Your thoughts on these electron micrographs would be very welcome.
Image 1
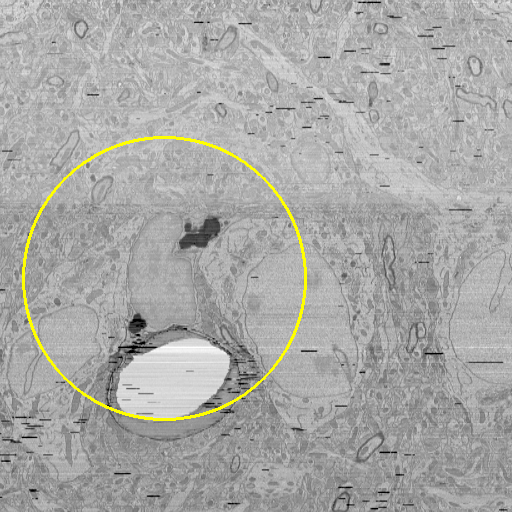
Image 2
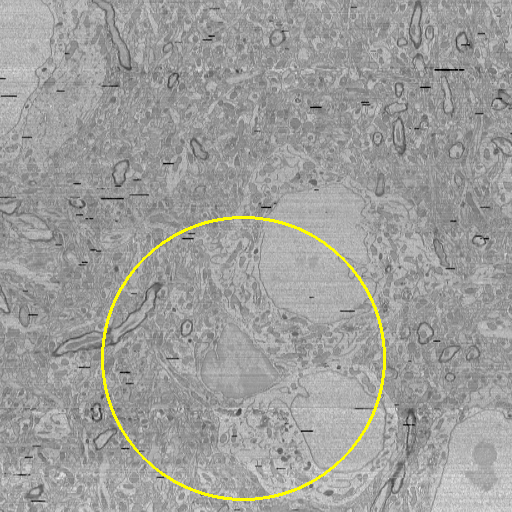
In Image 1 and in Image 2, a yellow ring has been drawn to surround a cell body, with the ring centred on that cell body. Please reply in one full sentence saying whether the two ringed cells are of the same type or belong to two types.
The ringed cells in Image 1 and Image 2 are of the same type.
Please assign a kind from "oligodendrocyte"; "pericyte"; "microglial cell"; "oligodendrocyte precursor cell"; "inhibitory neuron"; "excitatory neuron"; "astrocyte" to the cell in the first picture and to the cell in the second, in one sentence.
Each of the two cells is a microglial cell.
